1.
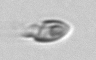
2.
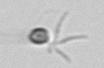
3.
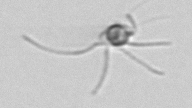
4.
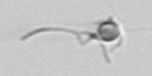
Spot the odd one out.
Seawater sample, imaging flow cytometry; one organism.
Picture 1 (Kapelodinium among Ophiaster).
